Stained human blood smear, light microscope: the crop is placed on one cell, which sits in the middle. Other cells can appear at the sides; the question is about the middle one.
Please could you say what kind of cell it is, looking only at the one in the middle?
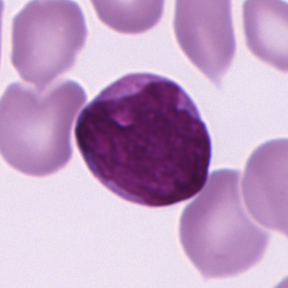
blast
